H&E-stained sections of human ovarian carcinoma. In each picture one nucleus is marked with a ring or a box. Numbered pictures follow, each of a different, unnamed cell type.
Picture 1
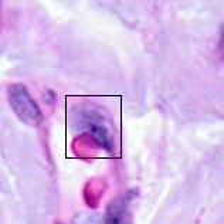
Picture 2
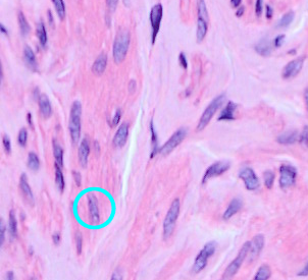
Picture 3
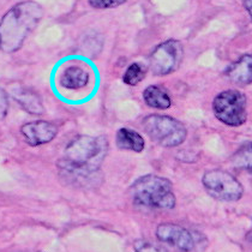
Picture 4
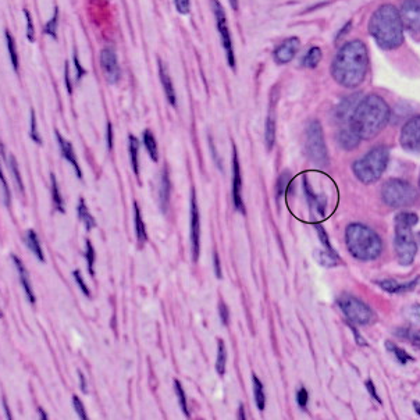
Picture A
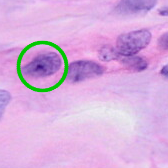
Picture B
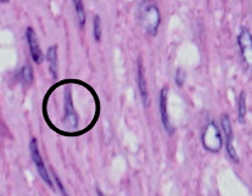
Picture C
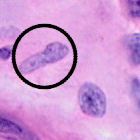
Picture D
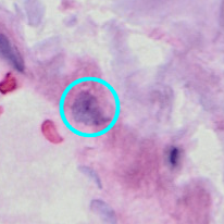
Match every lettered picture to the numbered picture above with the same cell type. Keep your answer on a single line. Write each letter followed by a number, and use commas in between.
A 1, B 4, C 2, D 1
